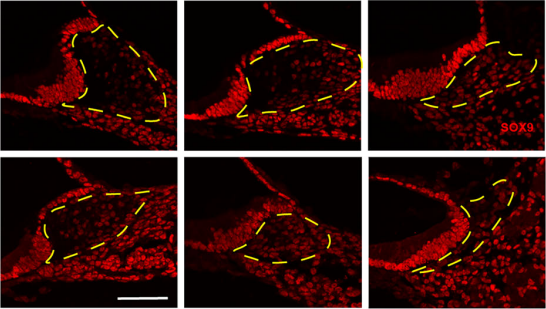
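Cross-sections of the cochlear floor with the spiral limbus outlined by a yellow dashed line. Beside the outlined area lies a dense epithelium of closely packed, elongated red nuclei. Below the outline, more red nuclei line the underlying tissue. The overall layout is similar in all six sections.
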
